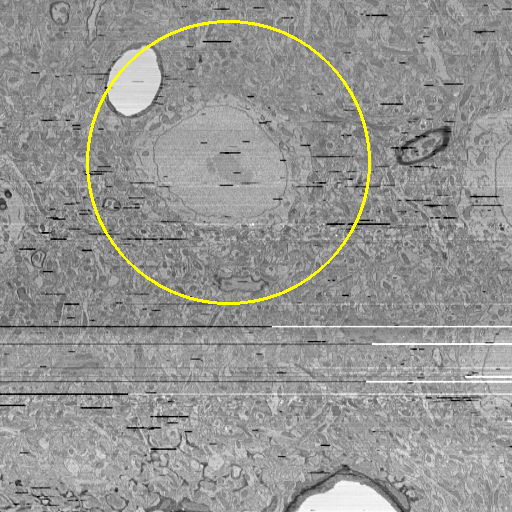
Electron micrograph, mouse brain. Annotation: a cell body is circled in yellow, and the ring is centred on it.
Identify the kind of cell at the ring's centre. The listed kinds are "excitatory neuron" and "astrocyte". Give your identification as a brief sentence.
The circled cell body is that of an excitatory neuron.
